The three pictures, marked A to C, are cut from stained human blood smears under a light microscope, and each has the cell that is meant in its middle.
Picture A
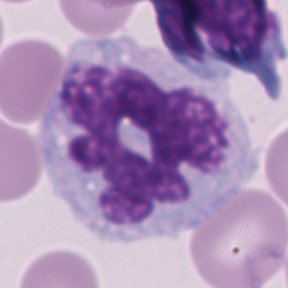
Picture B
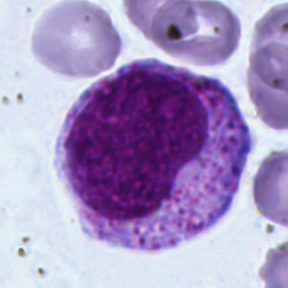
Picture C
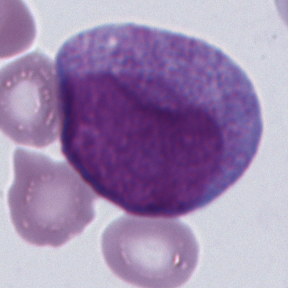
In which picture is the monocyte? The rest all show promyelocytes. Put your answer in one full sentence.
The monocyte is the one in picture A.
